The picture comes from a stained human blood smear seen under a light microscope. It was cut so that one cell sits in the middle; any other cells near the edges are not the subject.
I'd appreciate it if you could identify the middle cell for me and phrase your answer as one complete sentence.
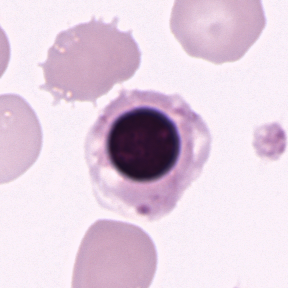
This crop's central cell is a normoblast.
